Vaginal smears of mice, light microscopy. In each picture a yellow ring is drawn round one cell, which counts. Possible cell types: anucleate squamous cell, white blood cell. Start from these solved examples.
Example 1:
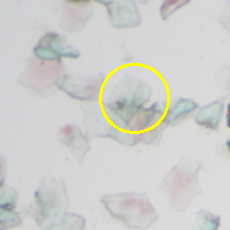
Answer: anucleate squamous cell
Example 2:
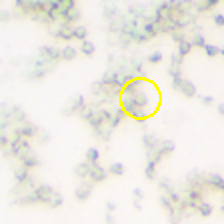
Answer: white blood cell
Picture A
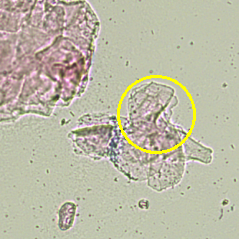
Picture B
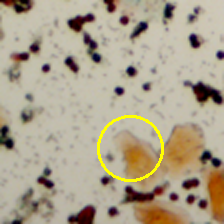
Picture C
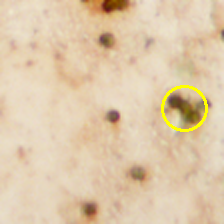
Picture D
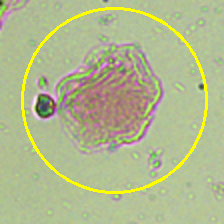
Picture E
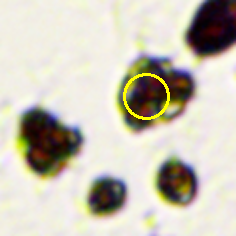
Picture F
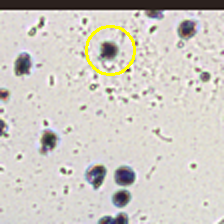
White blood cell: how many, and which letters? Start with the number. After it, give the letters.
Count: 3 (C, E, F)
